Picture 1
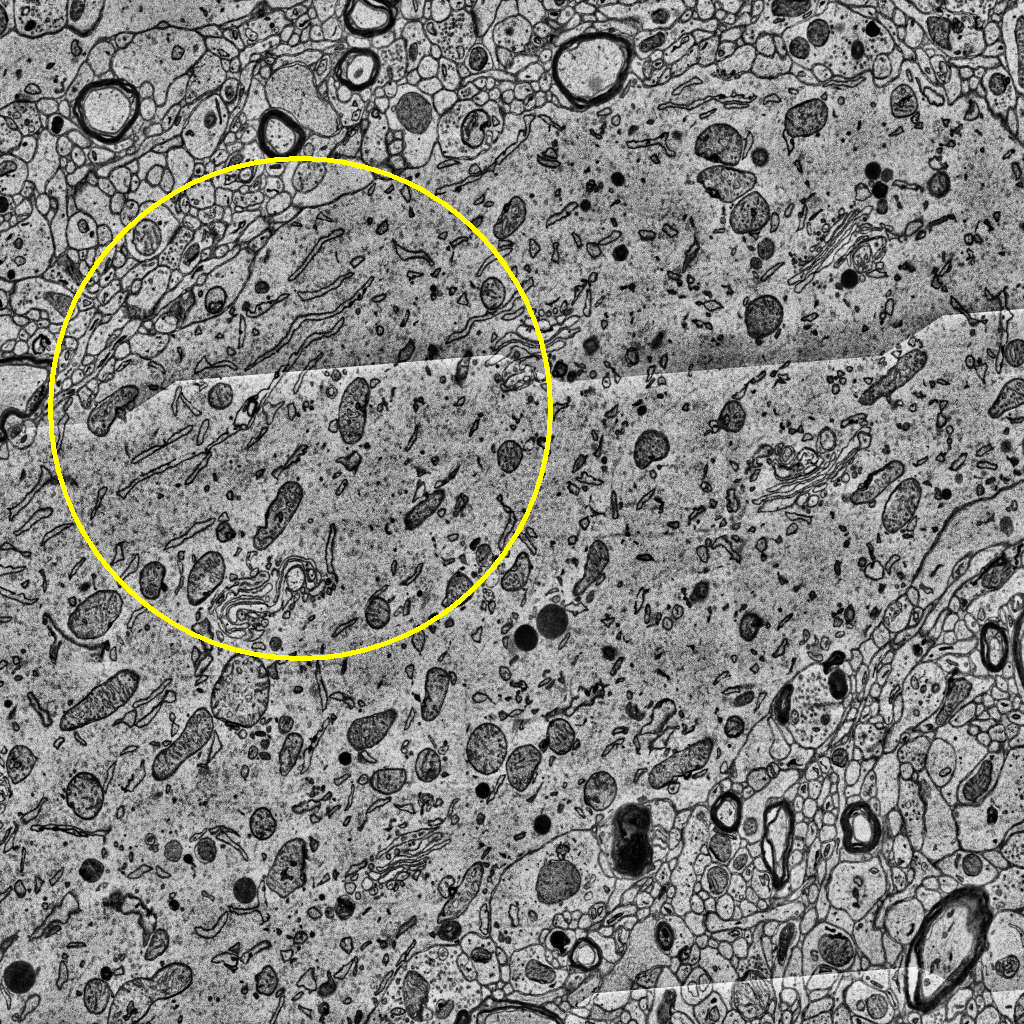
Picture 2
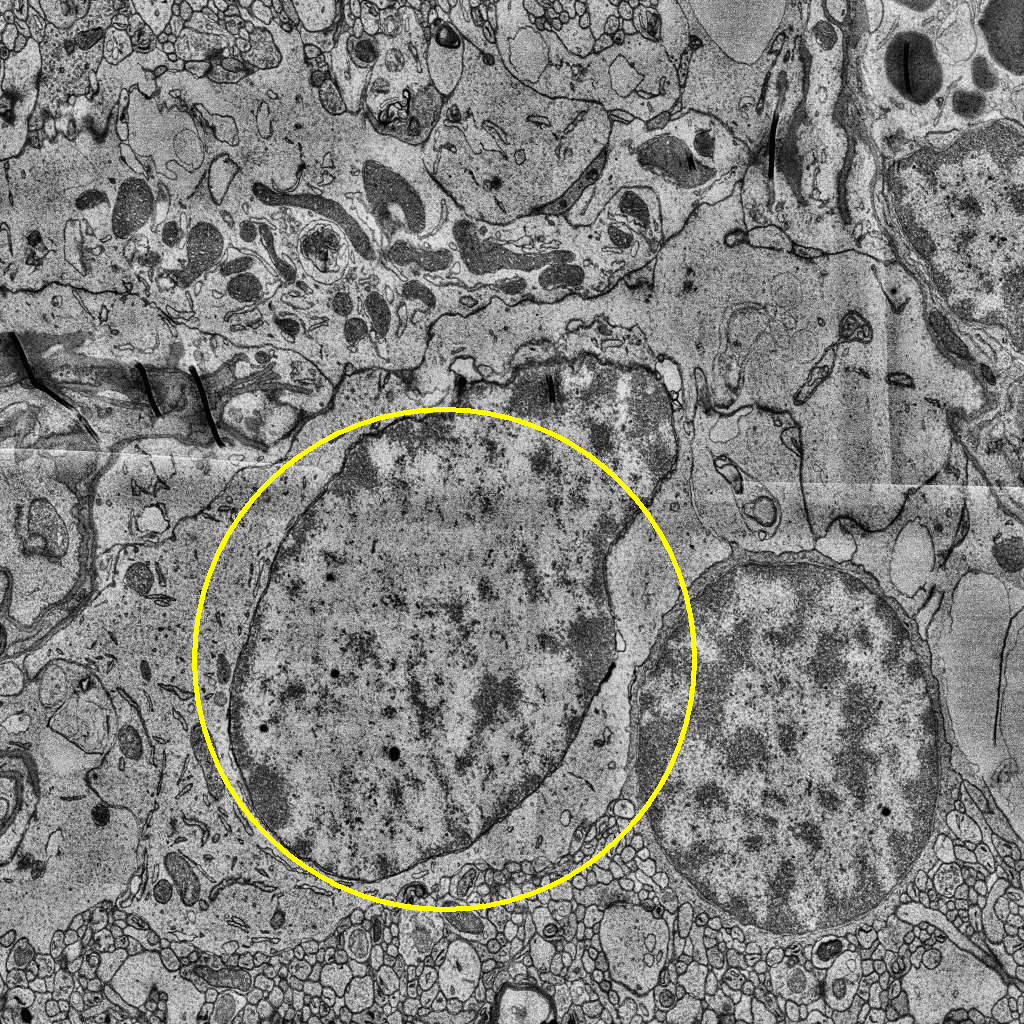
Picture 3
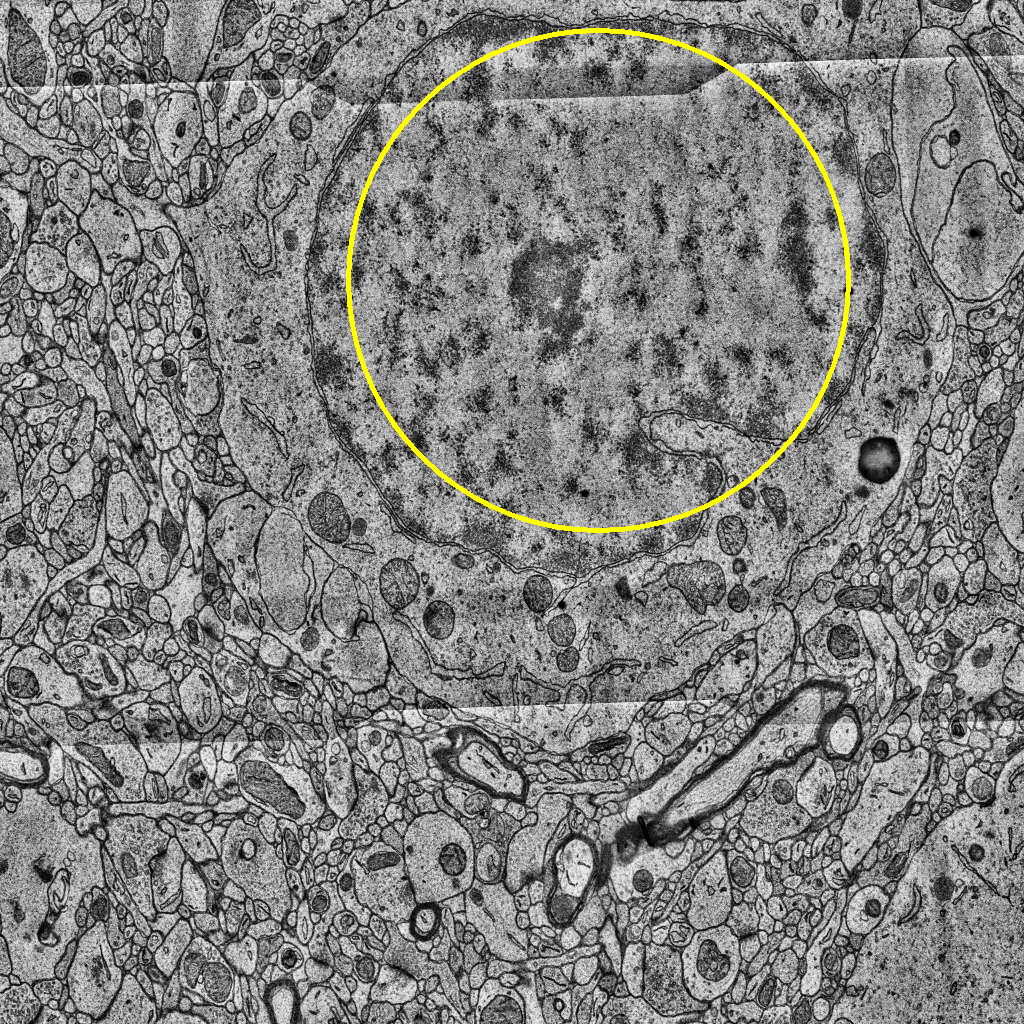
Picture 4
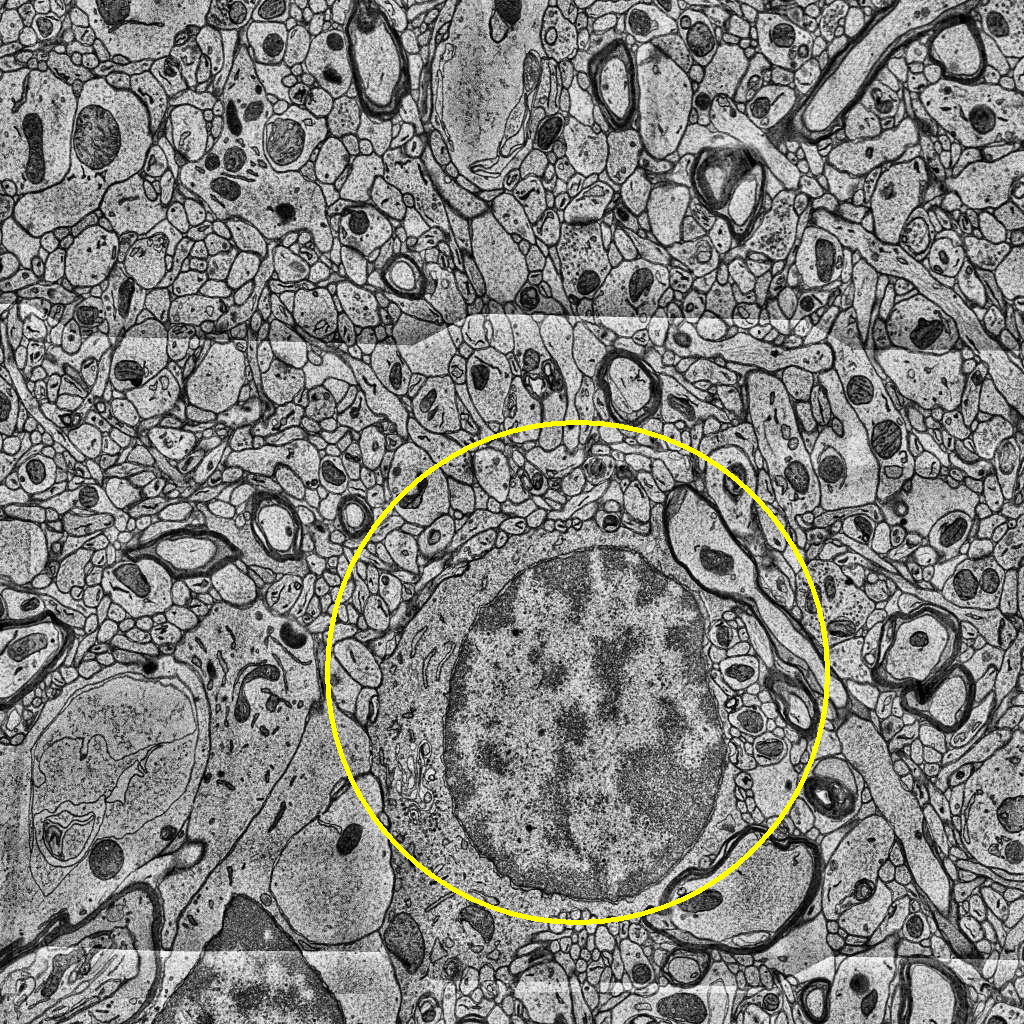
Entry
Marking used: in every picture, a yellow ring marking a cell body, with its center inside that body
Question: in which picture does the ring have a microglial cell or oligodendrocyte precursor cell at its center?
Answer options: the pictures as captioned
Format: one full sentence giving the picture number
Picture 2 is where the ring's center falls on the requested cell.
